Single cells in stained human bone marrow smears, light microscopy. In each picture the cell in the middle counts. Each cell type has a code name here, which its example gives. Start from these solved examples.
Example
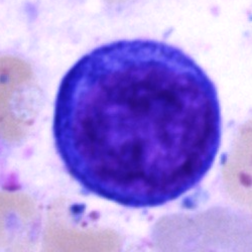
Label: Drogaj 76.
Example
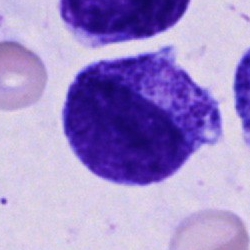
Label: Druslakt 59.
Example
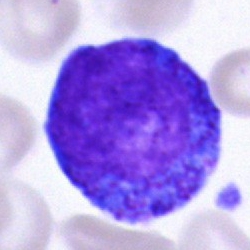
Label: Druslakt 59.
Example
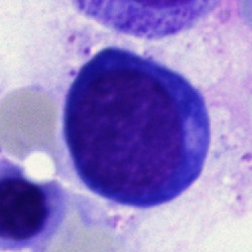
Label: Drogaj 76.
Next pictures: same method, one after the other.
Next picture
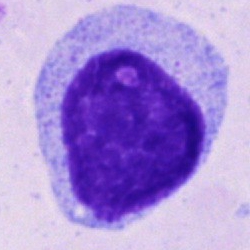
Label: Druslakt 59.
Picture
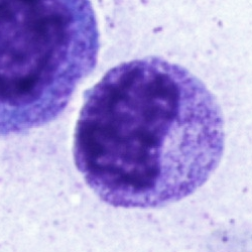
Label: Druslakt 59.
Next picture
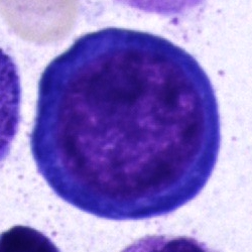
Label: Drogaj 76.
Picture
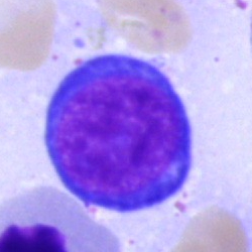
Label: Drogaj 76.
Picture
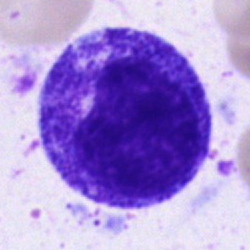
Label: Druslakt 59.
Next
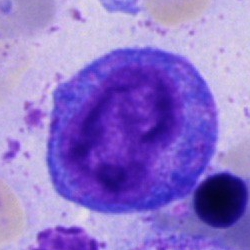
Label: Druslakt 59.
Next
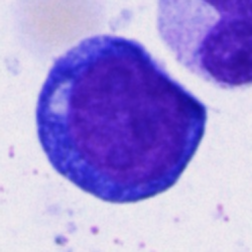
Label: Drogaj 76.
